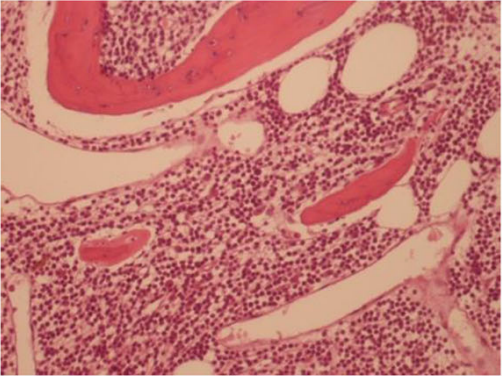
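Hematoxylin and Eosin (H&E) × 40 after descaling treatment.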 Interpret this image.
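Marrow space between bone trabeculae filled by small lymphoid cells. Pink, smooth strands of bone cross the field, some cut lengthwise and some as short oval fragments. Between them lies a dense, even sheet of small round cells, each with a dark purple round nucleus and very little surrounding cytoplasm. The cells look alike in size and shape and are packed closely with no clear pattern. A few clear round empty spaces, fat vacuoles, lie scattered among them, and thin clefts separate the cell sheet from the edges of the bone.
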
